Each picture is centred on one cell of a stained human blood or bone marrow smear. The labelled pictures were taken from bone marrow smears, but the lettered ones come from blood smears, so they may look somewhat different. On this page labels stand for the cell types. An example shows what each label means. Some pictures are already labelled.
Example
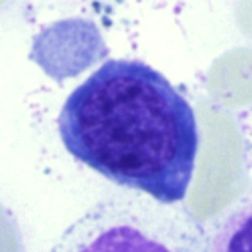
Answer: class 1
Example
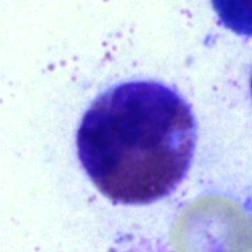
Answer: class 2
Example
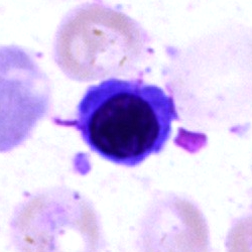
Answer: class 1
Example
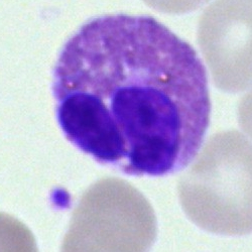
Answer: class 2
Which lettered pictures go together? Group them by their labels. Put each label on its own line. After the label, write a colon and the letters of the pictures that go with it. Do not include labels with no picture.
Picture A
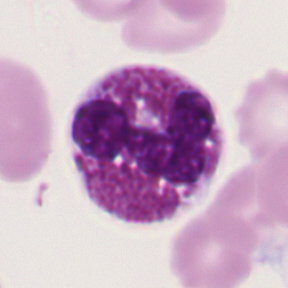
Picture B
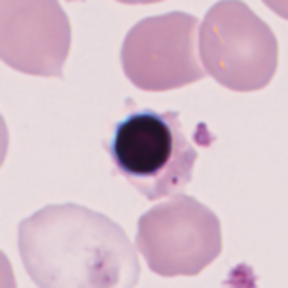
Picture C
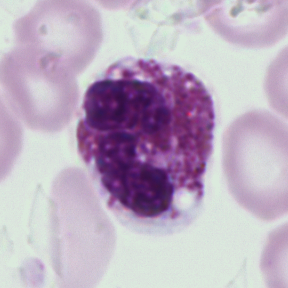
class 1: B
class 2: A, C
